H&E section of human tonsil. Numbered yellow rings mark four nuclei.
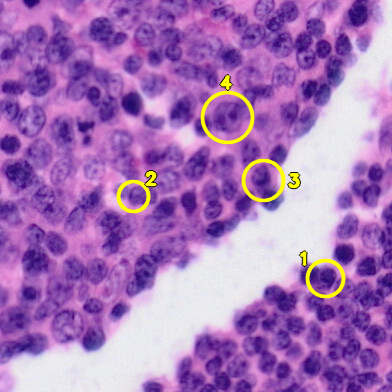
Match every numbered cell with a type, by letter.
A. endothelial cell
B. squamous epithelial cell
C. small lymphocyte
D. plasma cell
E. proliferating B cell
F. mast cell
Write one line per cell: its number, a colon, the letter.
1: C
2: E
3: E
4: E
